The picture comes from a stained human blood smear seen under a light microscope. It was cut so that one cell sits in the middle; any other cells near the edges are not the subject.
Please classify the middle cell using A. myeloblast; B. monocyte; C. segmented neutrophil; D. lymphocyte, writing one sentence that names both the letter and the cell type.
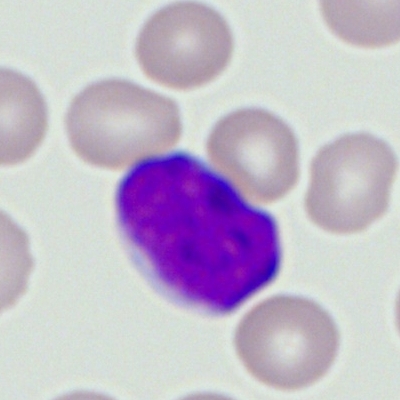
According to option A, which is correct, the cell in the middle is a myeloblast.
